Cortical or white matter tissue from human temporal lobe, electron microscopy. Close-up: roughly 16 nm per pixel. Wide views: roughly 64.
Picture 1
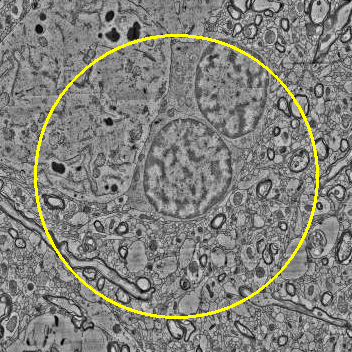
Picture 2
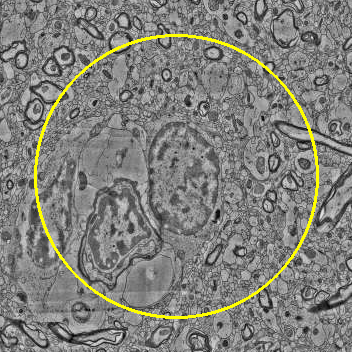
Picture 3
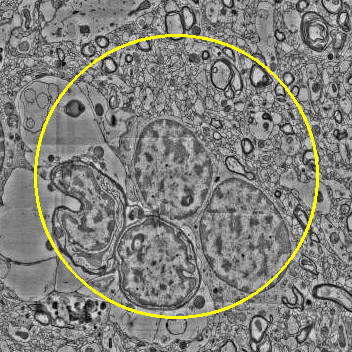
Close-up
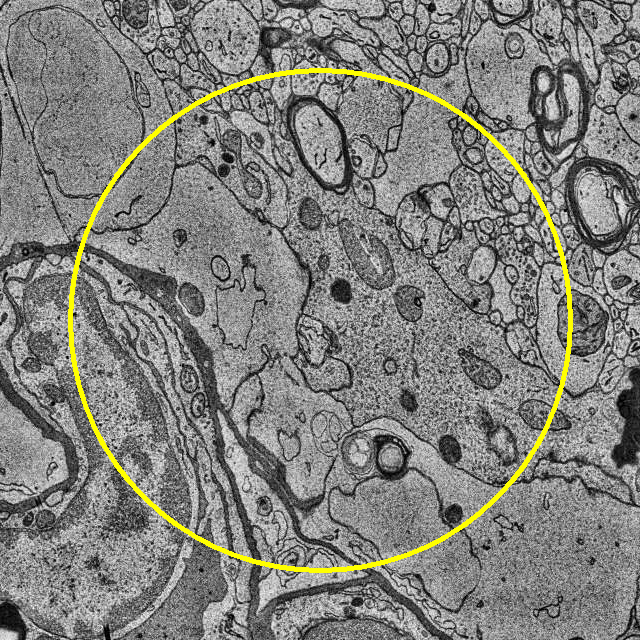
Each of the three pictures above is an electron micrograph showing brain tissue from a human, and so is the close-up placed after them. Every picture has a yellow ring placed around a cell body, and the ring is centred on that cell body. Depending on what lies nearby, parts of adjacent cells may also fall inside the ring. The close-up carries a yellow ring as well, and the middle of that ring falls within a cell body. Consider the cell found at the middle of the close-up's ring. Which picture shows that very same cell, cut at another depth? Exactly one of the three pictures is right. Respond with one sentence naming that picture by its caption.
The close-up is of the cell inside the yellow ring in Picture 3.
